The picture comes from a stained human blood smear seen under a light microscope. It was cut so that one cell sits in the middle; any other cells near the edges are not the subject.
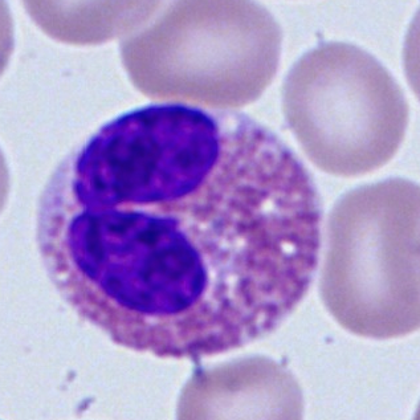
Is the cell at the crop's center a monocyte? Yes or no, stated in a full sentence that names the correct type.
No, the middle of this crop is occupied by an eosinophil rather than a monocyte.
